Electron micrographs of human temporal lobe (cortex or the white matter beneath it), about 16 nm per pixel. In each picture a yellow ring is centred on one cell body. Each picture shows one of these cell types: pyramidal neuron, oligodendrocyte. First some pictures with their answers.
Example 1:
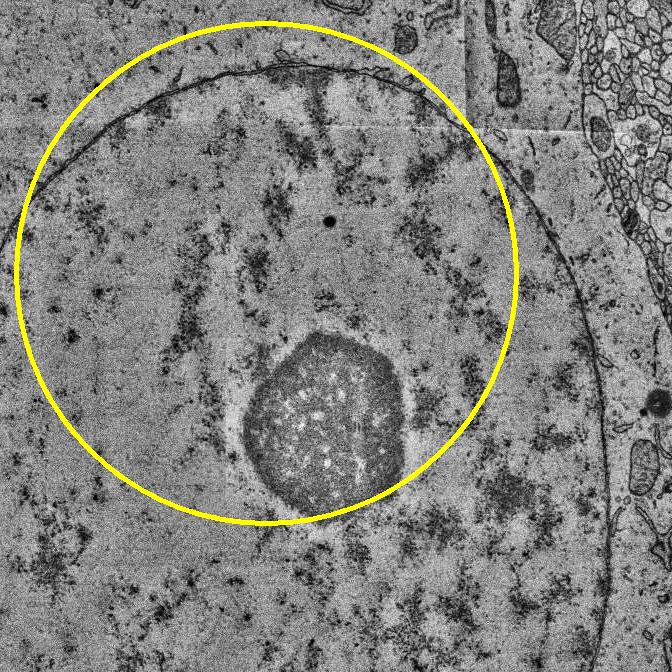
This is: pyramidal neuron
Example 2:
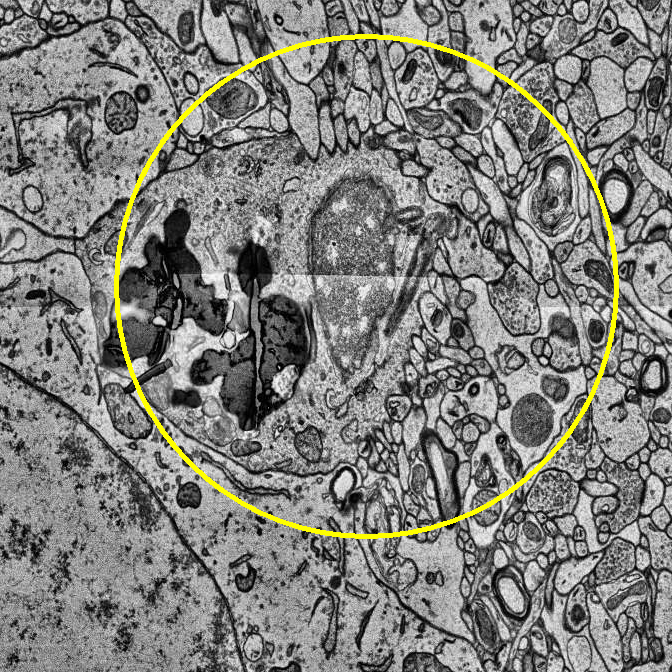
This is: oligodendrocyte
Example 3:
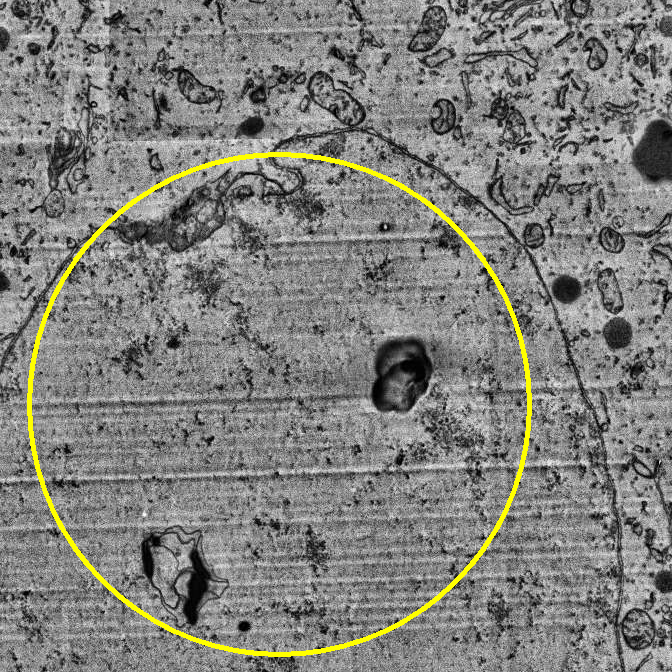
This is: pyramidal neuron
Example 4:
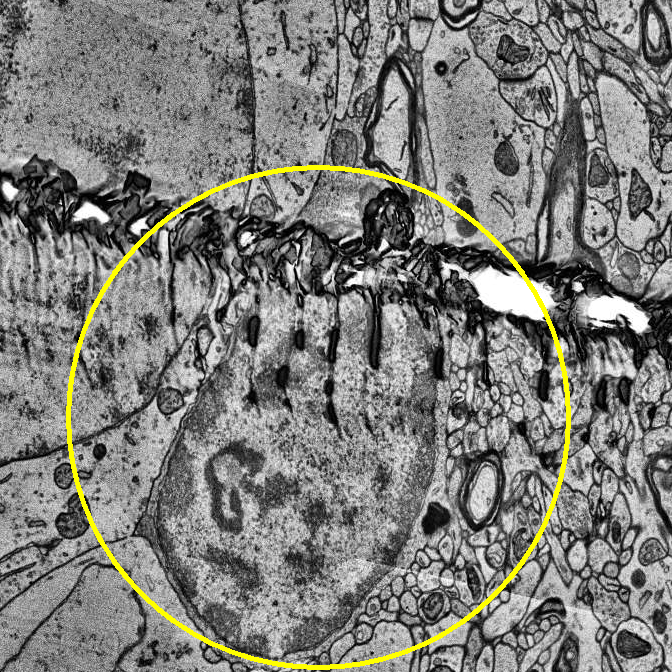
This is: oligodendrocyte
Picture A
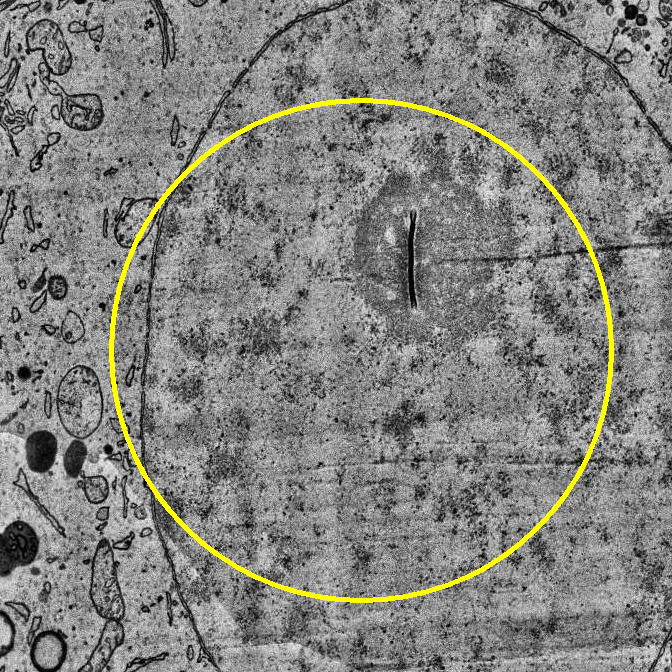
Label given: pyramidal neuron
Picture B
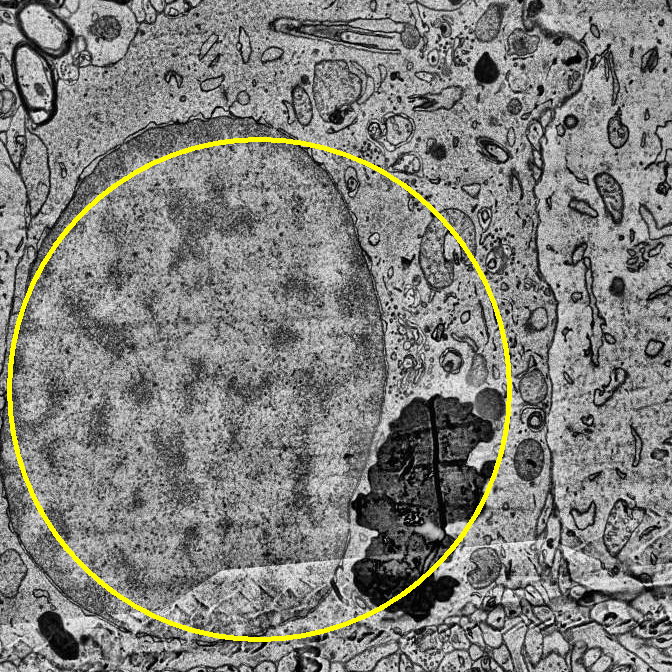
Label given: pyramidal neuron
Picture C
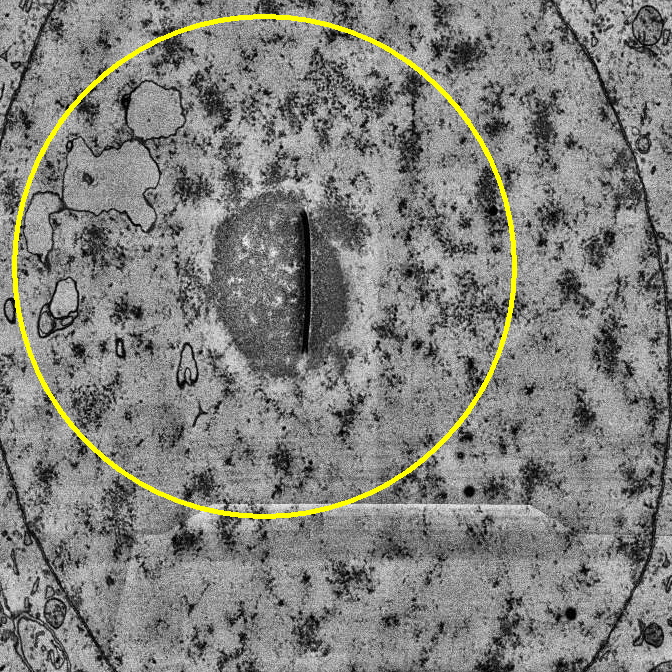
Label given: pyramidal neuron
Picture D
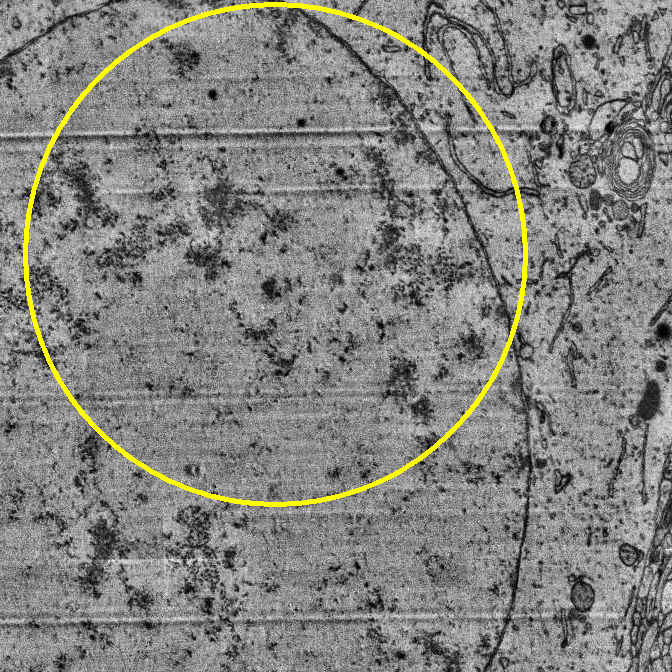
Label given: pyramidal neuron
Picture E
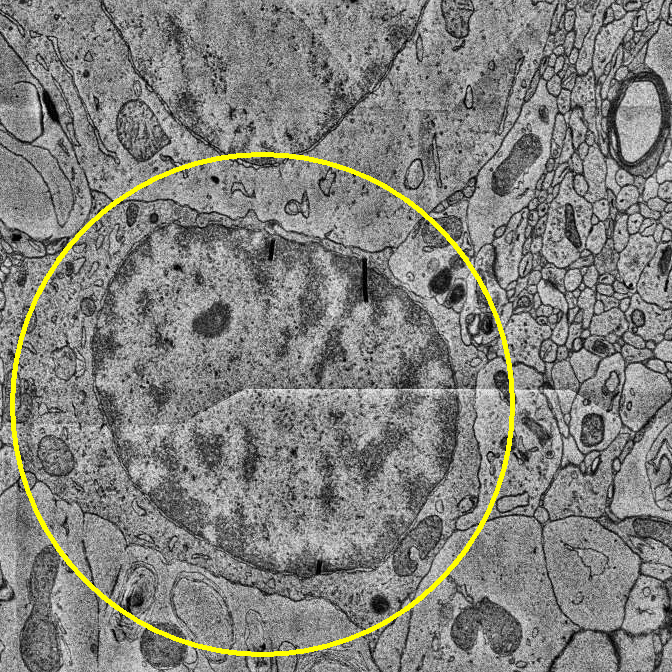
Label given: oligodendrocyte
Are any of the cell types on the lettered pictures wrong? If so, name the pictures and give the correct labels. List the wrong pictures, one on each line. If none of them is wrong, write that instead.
B: not pyramidal neuron but oligodendrocyte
